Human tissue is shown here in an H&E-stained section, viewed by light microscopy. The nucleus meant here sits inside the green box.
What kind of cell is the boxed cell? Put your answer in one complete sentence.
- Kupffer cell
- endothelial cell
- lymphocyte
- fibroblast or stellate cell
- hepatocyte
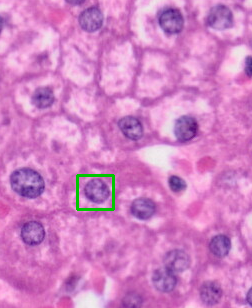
This is a hepatocyte.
